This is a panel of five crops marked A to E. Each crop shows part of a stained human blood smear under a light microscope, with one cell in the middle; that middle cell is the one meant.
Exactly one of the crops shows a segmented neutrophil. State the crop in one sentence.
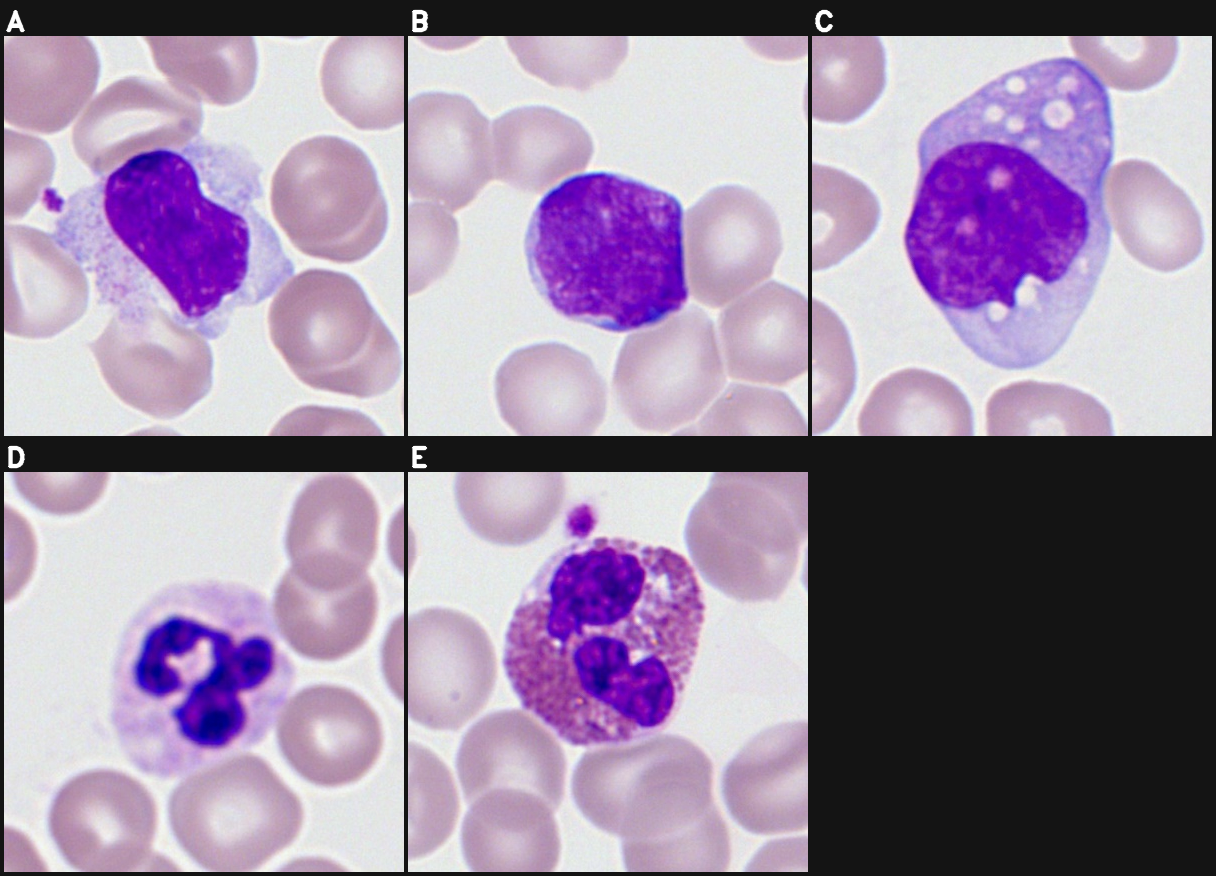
It is crop D that shows a segmented neutrophil.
